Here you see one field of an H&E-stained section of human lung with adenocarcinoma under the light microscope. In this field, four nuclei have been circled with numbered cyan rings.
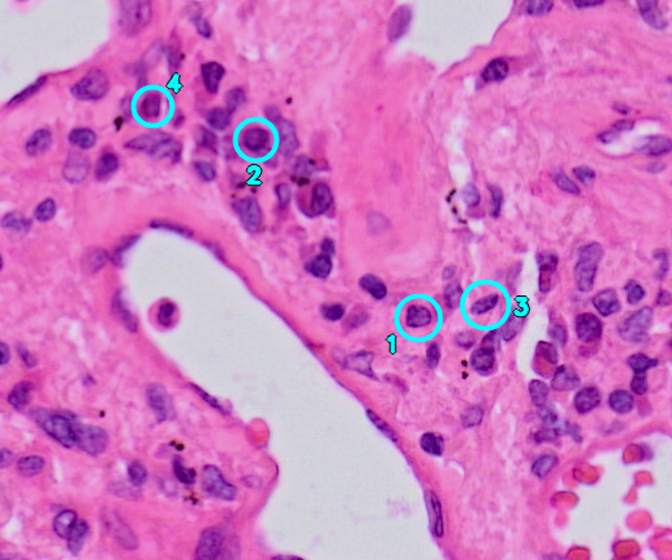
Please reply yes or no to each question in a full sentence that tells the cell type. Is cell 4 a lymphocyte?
No, the cell at number 4 is a plasma cell instead of a lymphocyte.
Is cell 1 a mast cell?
Yes, the cell at marker 1 is a mast cell.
